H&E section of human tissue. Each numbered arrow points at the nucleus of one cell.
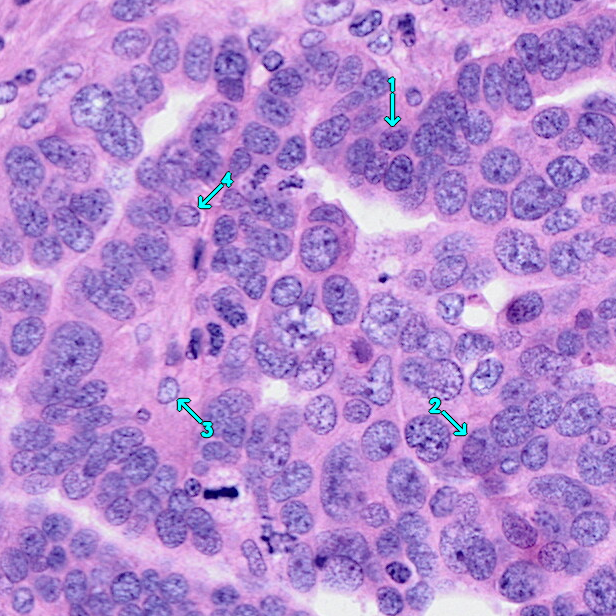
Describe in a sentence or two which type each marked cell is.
Cells 1 and 2 are carcinoma cells. Cell 3 is a fibroblast. Cell 4 is a macrophage or monocyte.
